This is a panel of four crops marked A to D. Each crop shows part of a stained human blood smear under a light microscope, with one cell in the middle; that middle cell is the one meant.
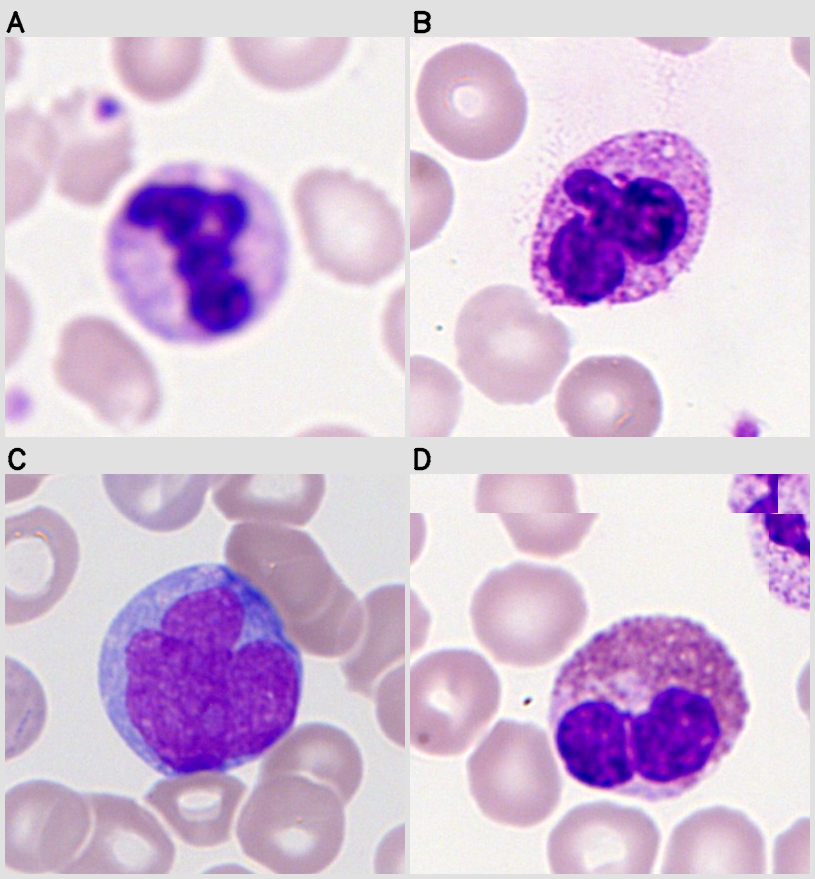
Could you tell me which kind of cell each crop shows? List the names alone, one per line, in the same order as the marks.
segmented neutrophil
basophil
myeloblast
eosinophil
